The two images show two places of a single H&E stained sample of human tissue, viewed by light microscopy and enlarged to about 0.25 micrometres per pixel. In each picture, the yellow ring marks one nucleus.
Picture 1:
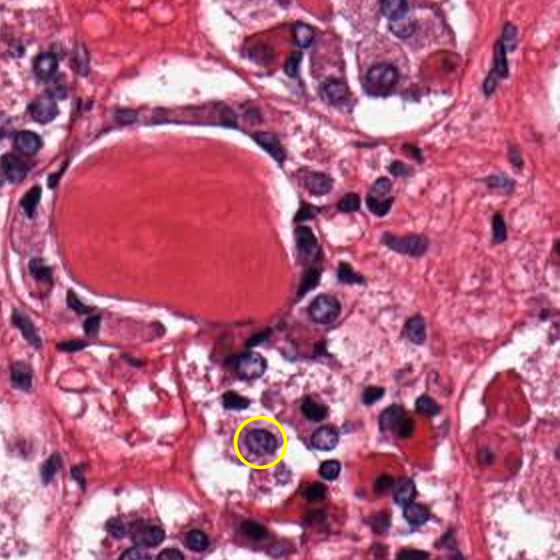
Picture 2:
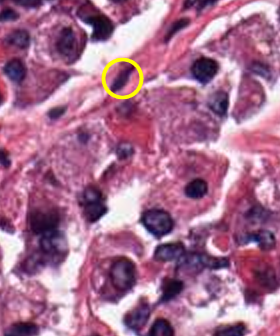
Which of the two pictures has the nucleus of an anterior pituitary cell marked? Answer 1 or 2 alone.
1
